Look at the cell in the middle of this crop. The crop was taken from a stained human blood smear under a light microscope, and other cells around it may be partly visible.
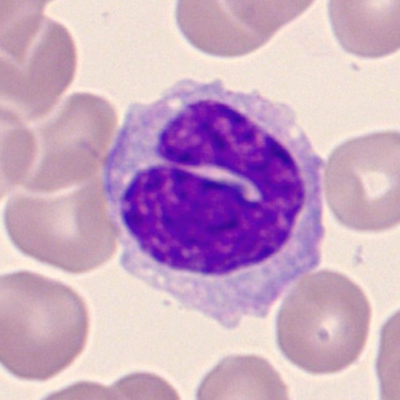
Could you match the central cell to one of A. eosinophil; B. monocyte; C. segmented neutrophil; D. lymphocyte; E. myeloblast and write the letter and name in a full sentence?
In the middle of the crop is a monocyte; option B is therefore correct.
